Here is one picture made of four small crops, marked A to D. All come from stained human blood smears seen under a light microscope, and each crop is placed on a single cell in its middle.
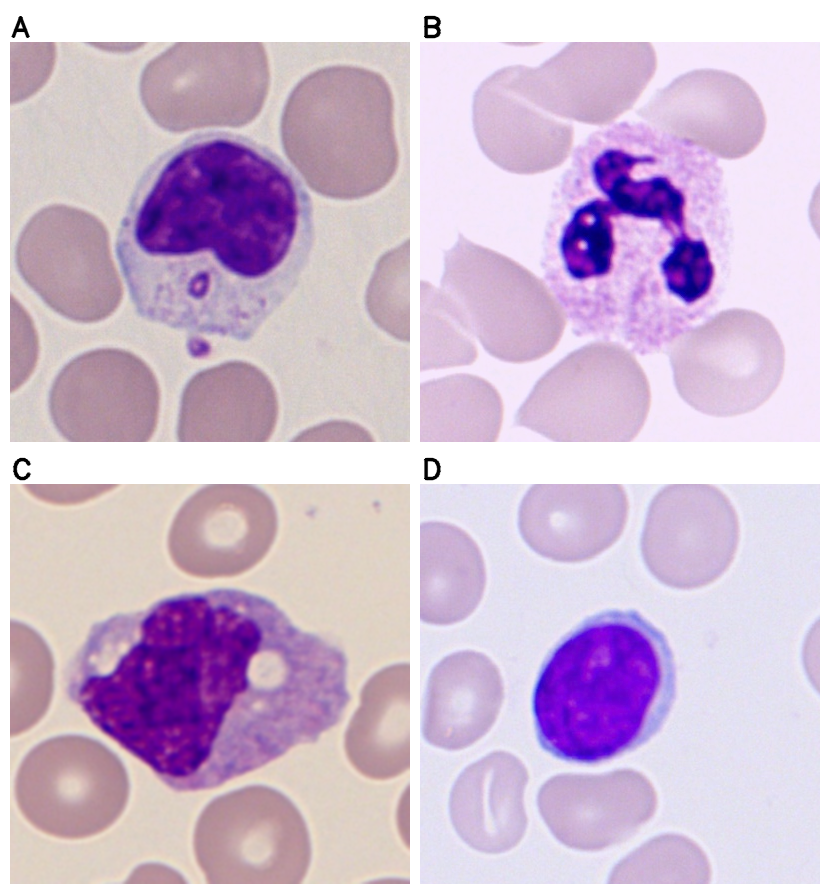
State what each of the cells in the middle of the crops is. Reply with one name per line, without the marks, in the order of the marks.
lymphocyte
neutrophil
monocyte
lymphocyte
